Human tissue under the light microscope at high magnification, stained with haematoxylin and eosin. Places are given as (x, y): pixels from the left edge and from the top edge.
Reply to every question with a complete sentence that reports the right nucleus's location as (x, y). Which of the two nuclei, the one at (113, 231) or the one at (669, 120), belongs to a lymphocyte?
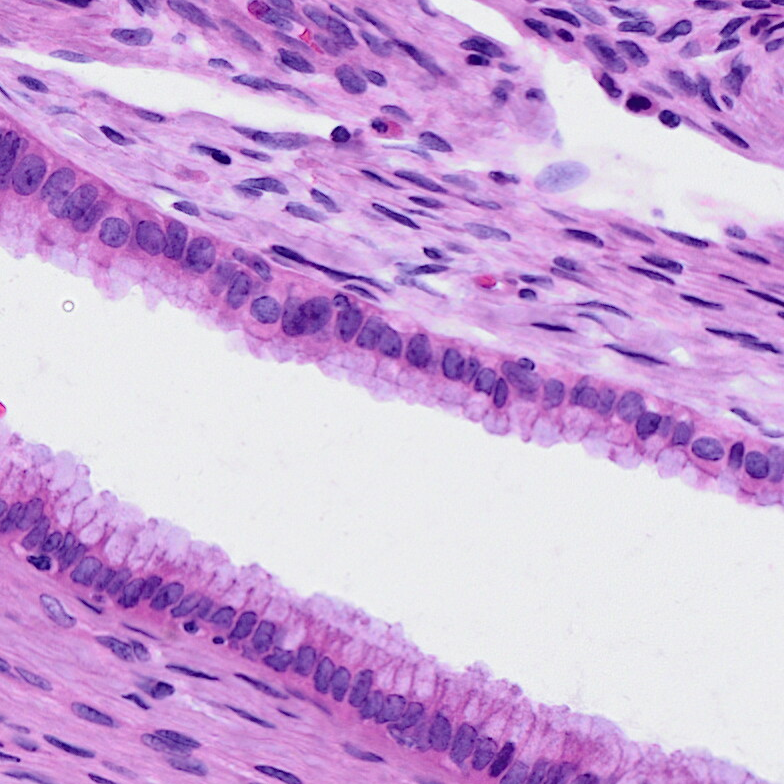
The nucleus positioned at (669, 120) forms part of a lymphocyte.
